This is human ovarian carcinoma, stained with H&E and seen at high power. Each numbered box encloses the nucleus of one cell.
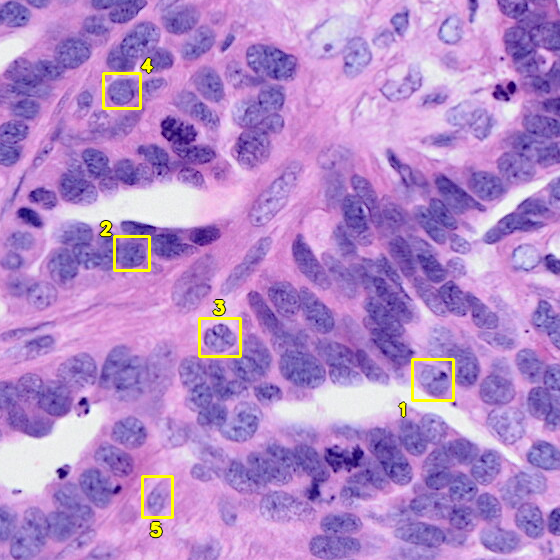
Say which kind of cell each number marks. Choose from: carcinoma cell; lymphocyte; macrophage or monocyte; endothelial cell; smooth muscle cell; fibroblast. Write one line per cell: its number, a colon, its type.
1: carcinoma cell
2: carcinoma cell
3: macrophage or monocyte
4: carcinoma cell
5: fibroblast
